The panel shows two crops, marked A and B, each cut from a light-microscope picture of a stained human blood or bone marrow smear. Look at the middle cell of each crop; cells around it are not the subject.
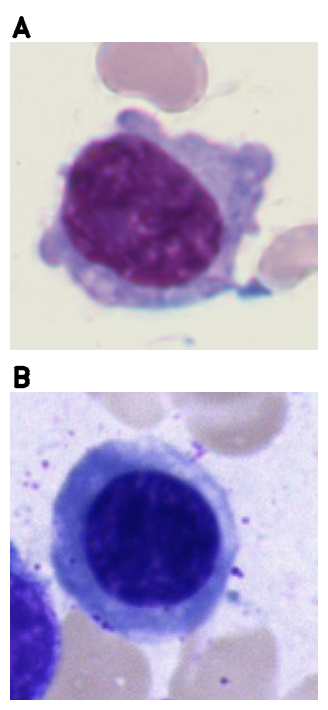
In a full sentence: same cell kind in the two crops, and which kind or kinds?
No, crop A gives us a plasma cell and crop B gives us a normoblast.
